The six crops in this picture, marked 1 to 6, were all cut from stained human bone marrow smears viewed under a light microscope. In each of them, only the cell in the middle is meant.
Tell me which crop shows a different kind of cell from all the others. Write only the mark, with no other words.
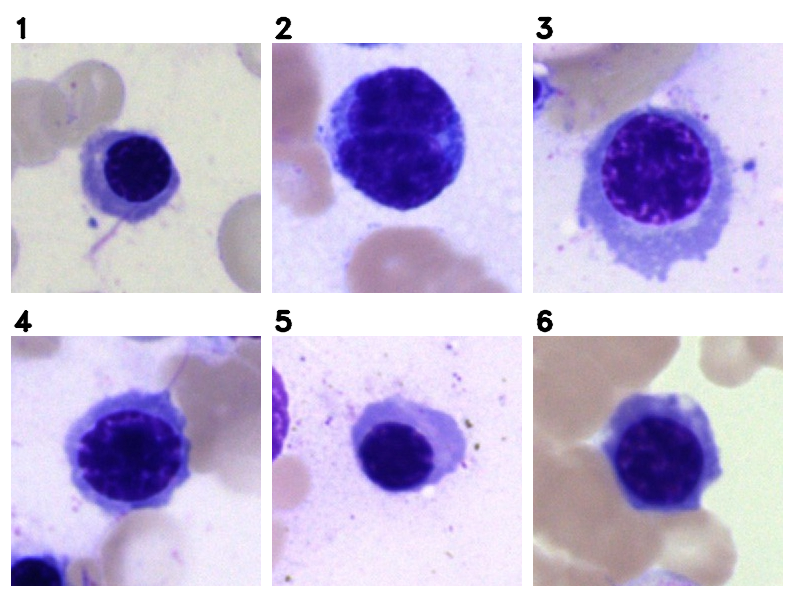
2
